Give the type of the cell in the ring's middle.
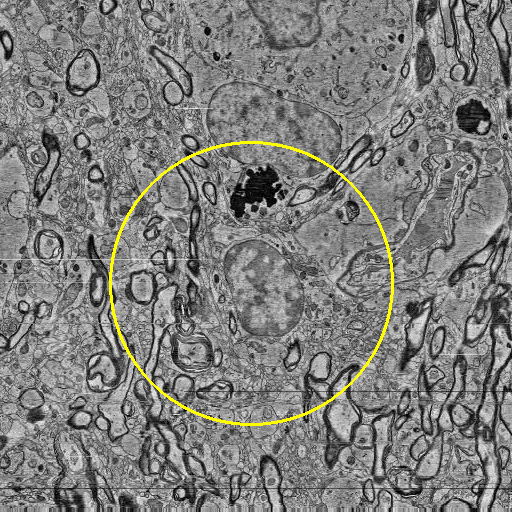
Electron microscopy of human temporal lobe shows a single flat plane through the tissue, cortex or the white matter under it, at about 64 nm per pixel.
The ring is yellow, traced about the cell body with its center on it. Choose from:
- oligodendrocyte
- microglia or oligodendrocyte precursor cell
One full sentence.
Here, a microglial cell or oligodendrocyte precursor cell is the cell lying at the center of the yellow ring.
